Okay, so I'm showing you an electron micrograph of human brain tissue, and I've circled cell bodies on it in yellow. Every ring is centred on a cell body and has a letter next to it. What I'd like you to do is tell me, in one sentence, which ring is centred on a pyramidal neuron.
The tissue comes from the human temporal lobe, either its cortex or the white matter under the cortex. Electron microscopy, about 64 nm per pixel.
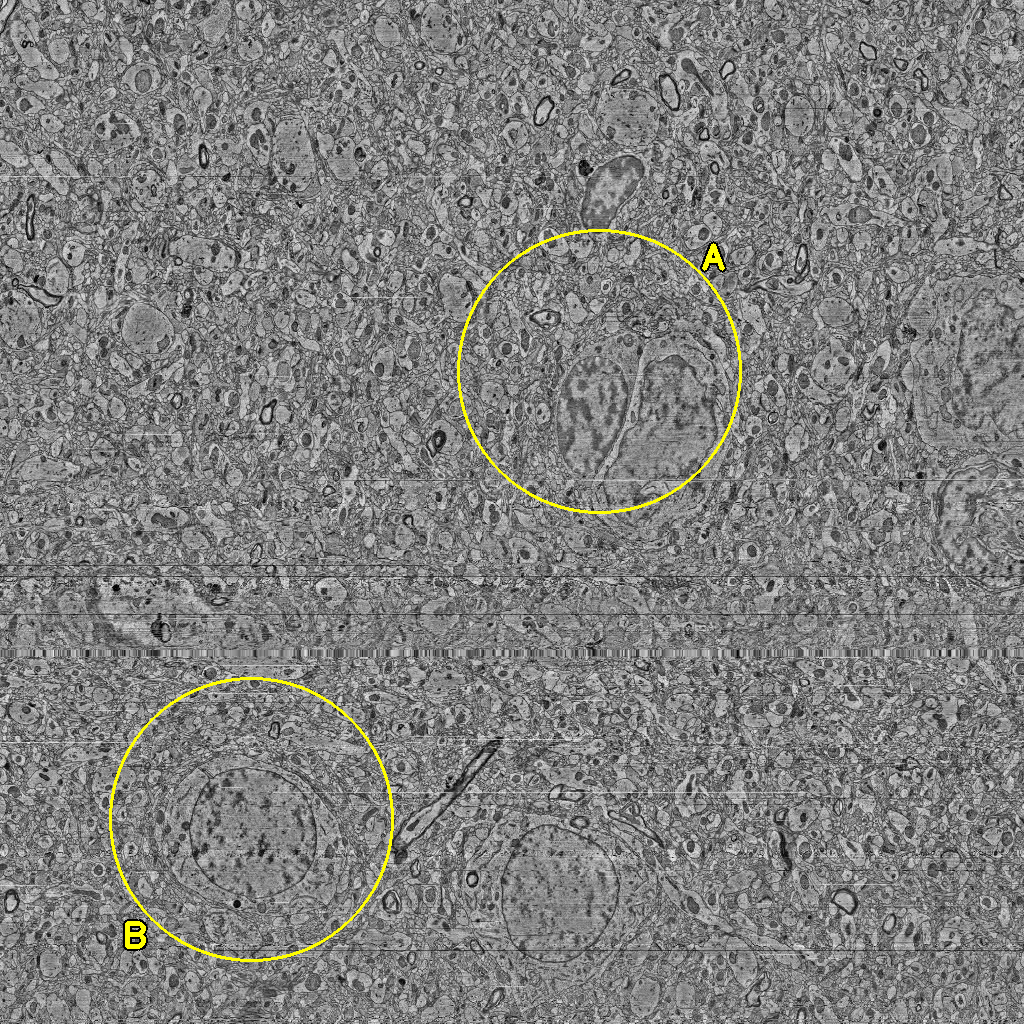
It's ring B.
